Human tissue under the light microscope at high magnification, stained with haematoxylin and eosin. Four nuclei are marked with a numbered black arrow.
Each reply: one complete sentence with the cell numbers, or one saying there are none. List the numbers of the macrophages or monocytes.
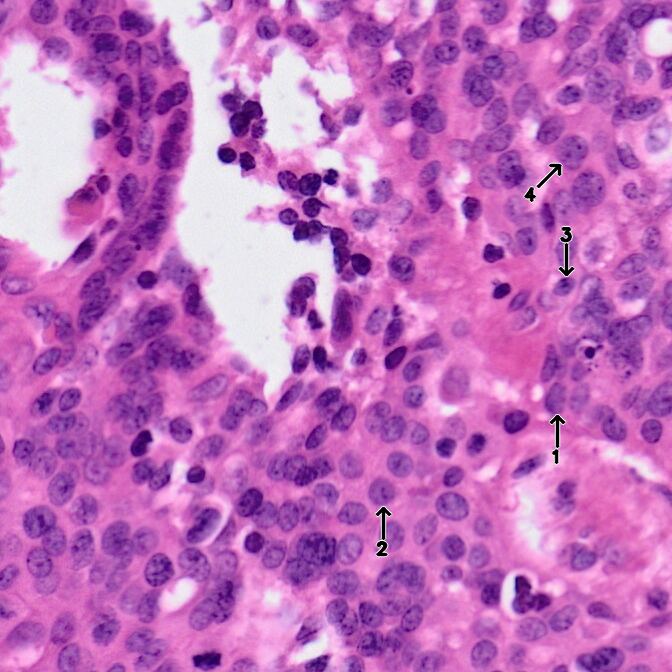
Cell 3 is the single numbered cell that is a macrophage or monocyte.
